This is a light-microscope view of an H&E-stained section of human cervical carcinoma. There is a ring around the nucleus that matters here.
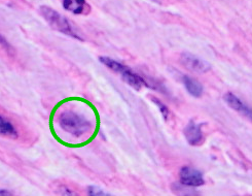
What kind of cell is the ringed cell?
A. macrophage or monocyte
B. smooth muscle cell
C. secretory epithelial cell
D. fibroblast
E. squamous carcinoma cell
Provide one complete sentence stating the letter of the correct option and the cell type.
Answer with option A; the ringed cell is a macrophage or monocyte.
